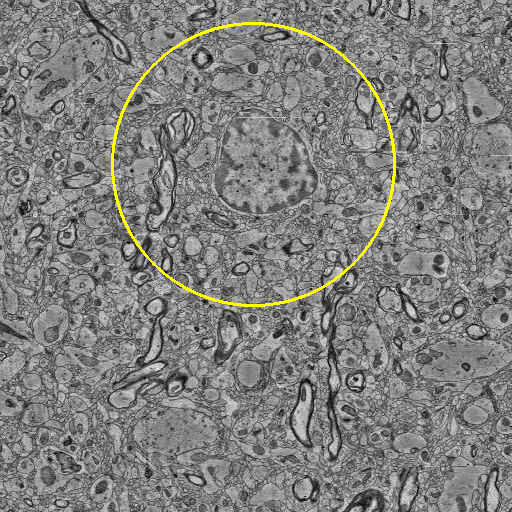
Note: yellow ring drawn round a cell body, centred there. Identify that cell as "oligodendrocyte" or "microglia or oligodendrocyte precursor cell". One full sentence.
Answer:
The cell in the middle of the ring is a microglial cell or oligodendrocyte precursor cell.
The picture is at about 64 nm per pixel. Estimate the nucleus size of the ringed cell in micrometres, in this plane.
The ringed cell's nucleus is about 7 micrometres across in this plane.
